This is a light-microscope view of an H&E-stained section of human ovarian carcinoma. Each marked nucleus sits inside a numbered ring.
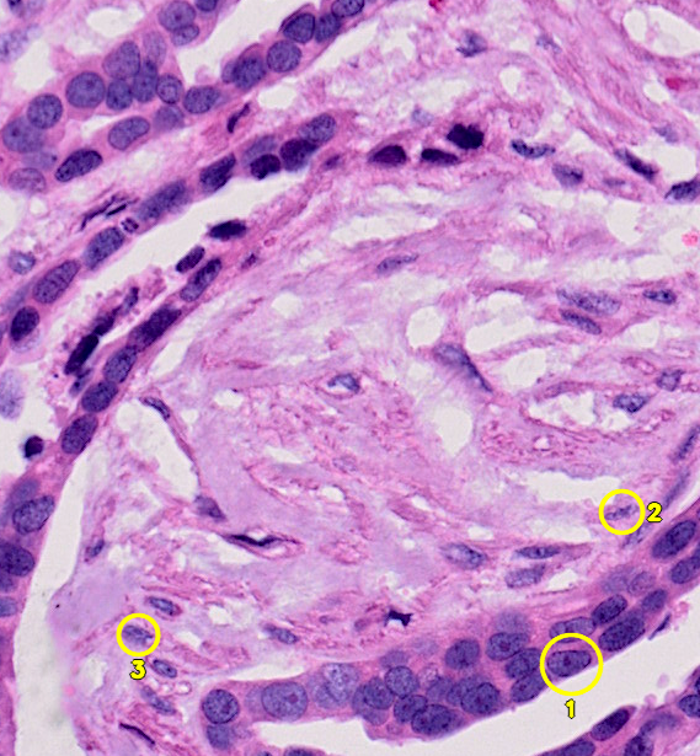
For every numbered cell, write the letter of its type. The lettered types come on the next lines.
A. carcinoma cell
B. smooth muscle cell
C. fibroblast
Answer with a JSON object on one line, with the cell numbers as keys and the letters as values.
{"1": "A", "2": "C", "3": "C"}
